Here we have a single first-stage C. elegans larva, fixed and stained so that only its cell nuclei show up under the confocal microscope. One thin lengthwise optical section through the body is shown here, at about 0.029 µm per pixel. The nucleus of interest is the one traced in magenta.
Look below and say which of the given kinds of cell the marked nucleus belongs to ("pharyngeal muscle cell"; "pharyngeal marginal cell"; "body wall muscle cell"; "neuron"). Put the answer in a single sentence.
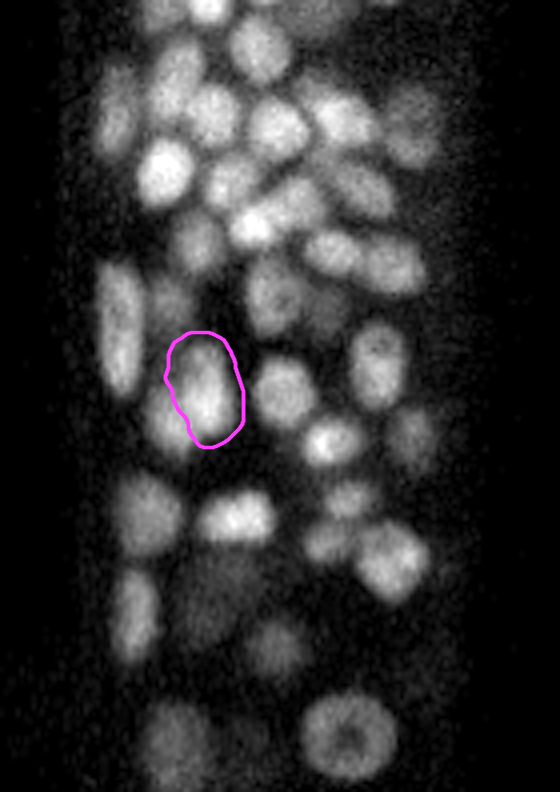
This is the nucleus of a pharyngeal marginal cell.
